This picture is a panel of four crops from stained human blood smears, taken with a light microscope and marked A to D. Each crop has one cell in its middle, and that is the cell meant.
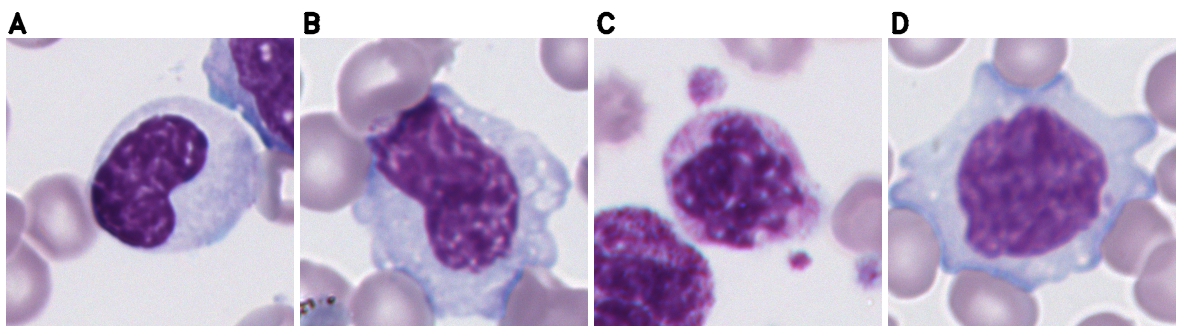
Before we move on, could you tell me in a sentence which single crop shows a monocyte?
Among the crops provided, a monocyte occupies the center of crop B.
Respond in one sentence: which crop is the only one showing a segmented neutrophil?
Of the cells presented, the one in crop C is a segmented neutrophil.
